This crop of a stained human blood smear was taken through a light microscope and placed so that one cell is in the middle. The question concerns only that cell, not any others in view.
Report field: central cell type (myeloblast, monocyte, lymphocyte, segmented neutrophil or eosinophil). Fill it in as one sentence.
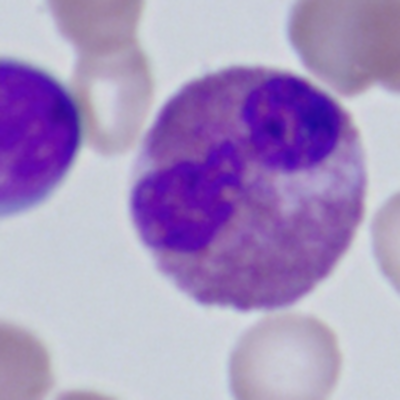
The cell marked by its central position in the crop is an eosinophil.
